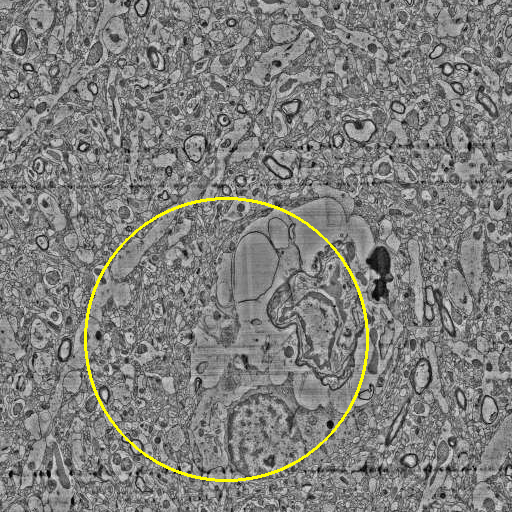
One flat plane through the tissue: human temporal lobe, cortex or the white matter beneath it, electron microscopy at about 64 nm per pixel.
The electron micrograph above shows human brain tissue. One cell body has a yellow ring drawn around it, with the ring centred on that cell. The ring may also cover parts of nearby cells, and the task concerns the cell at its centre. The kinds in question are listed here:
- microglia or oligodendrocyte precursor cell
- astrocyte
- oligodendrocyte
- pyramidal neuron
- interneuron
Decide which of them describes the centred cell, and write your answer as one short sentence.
The centred cell is a microglial cell or oligodendrocyte precursor cell.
